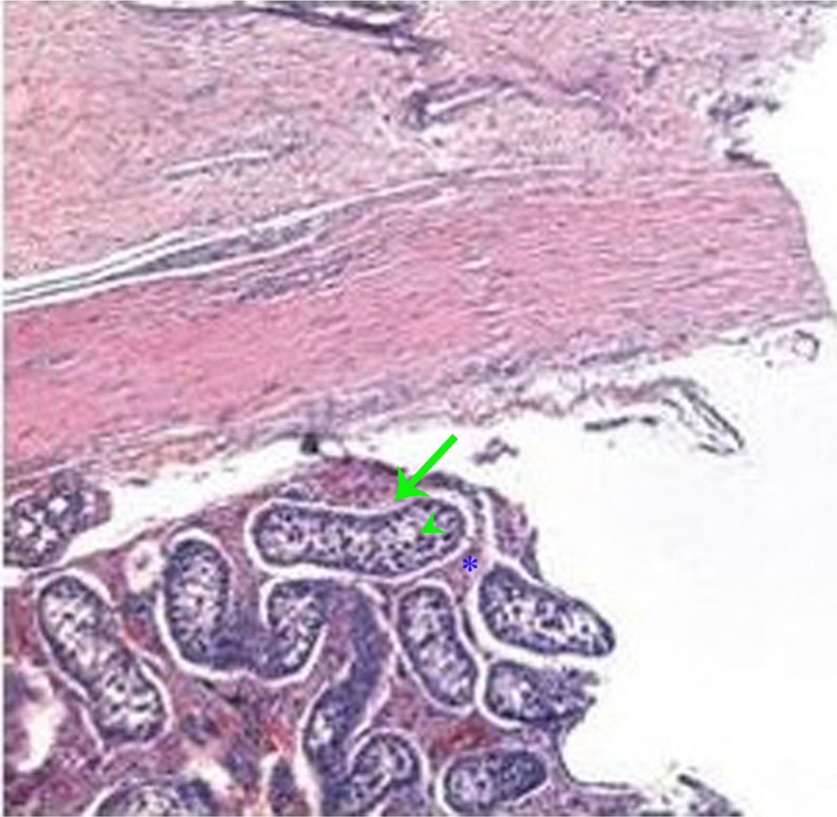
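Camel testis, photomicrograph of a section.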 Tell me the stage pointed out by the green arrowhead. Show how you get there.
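The tubule epithelium holds rounded dark nuclei with no clear elongated sperm toward the centre. No organised layering from the basement membrane to a lumen is apparent. The answer: incomplete spermatogenesis.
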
